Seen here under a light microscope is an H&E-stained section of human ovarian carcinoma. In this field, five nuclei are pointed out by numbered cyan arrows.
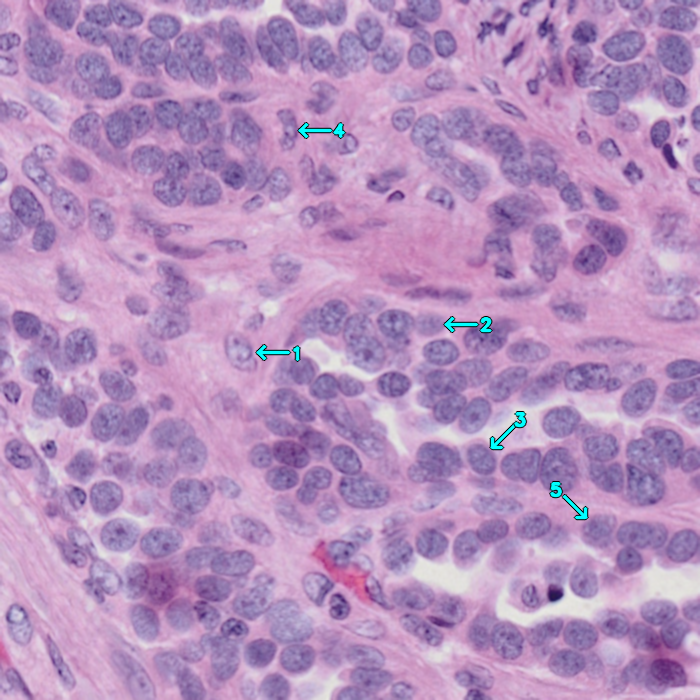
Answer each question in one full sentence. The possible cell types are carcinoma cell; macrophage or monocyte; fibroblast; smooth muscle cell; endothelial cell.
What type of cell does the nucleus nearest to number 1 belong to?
The nearest nucleus to number 1 belongs to a macrophage or monocyte.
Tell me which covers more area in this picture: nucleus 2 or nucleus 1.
Nucleus 1 is the larger one, covering about 1.5 times the area of nucleus 2.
